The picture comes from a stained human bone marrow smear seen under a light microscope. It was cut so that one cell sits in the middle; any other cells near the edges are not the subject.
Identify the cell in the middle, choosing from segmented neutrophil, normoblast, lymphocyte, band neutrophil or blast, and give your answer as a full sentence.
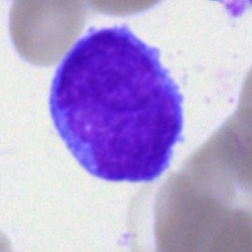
This crop has a blast at its centre.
